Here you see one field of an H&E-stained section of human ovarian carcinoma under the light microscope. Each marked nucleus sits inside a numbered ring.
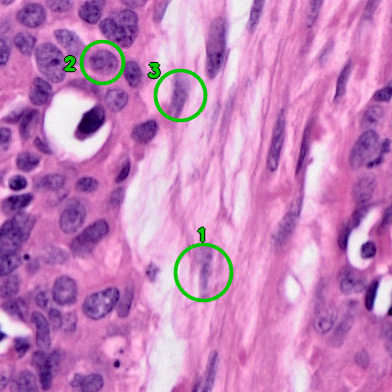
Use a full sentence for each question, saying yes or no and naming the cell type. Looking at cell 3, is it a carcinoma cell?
No, the one with number 3 is a fibroblast, not a carcinoma cell.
